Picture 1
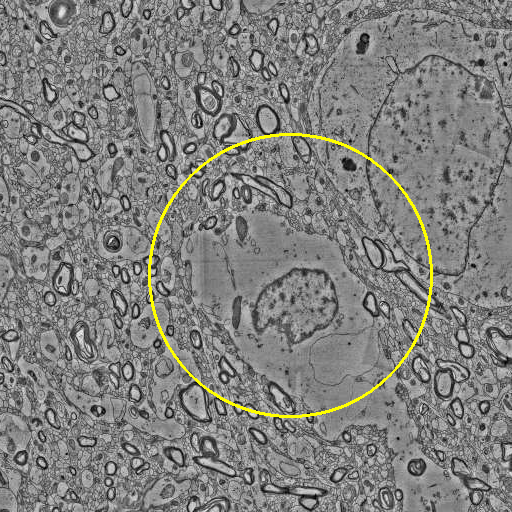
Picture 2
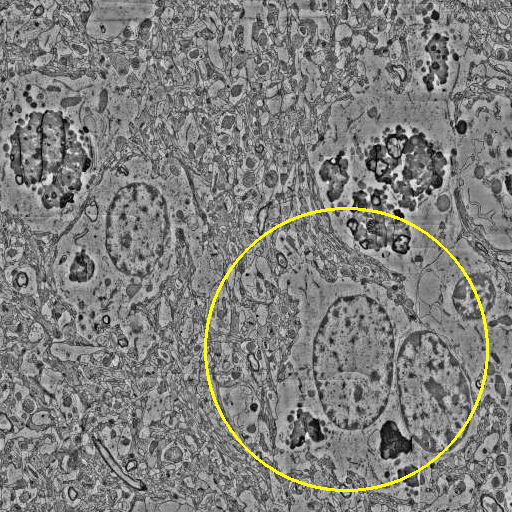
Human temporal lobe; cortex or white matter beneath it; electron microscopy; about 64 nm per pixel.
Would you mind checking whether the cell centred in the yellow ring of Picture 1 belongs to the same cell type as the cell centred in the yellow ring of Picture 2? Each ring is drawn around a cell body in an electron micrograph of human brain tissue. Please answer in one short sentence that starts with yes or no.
Yes, both cells are of the same type.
